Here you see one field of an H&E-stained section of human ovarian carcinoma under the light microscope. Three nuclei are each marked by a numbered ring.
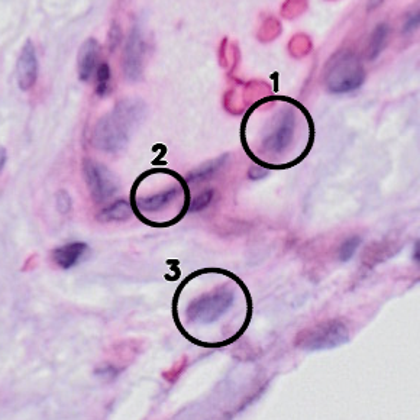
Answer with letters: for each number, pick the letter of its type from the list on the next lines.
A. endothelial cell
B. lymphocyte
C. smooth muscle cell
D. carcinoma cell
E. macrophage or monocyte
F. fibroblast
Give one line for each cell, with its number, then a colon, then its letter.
1: A
2: A
3: F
